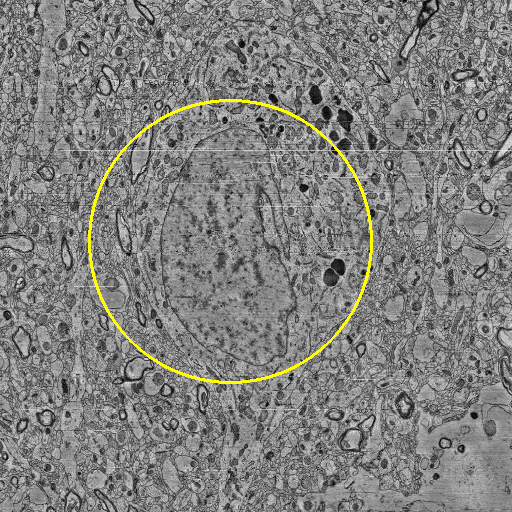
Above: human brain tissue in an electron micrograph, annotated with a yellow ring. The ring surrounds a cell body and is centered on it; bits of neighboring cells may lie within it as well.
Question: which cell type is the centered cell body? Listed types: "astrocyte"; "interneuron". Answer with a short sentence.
The centered cell body is an interneuron.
